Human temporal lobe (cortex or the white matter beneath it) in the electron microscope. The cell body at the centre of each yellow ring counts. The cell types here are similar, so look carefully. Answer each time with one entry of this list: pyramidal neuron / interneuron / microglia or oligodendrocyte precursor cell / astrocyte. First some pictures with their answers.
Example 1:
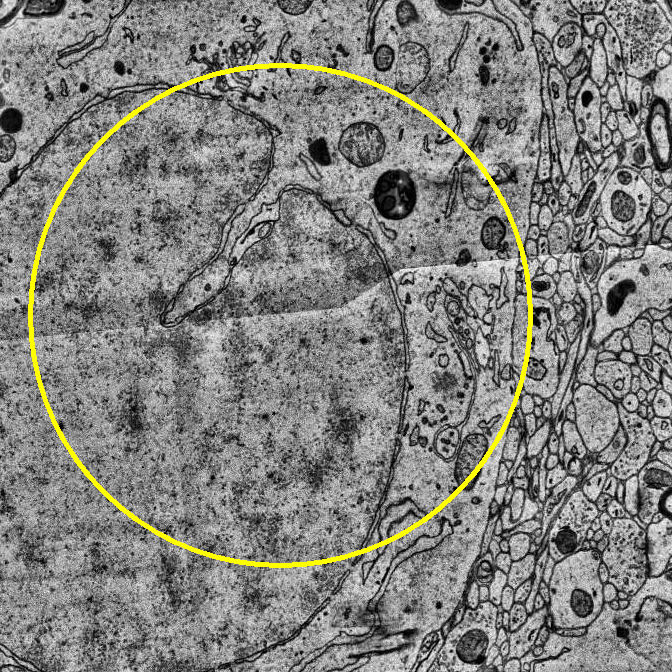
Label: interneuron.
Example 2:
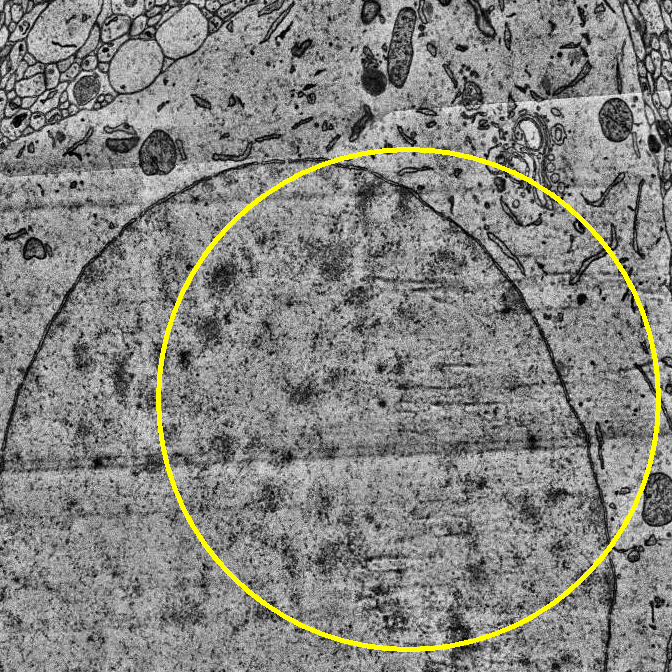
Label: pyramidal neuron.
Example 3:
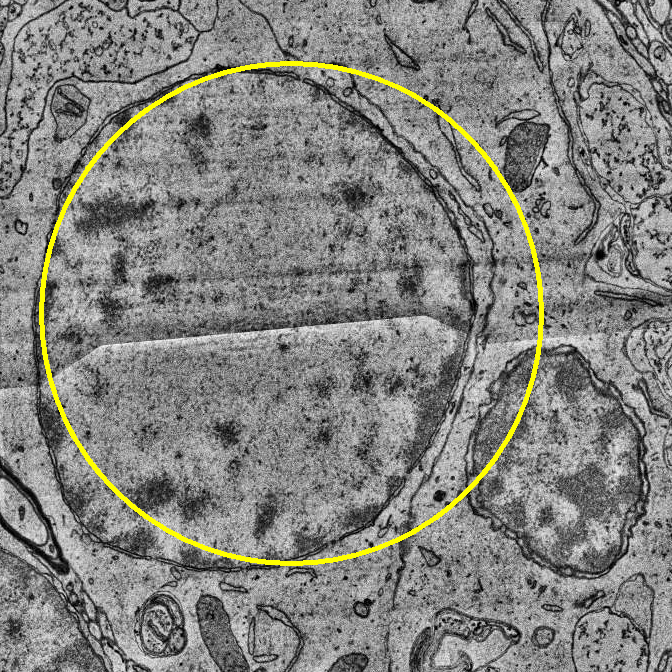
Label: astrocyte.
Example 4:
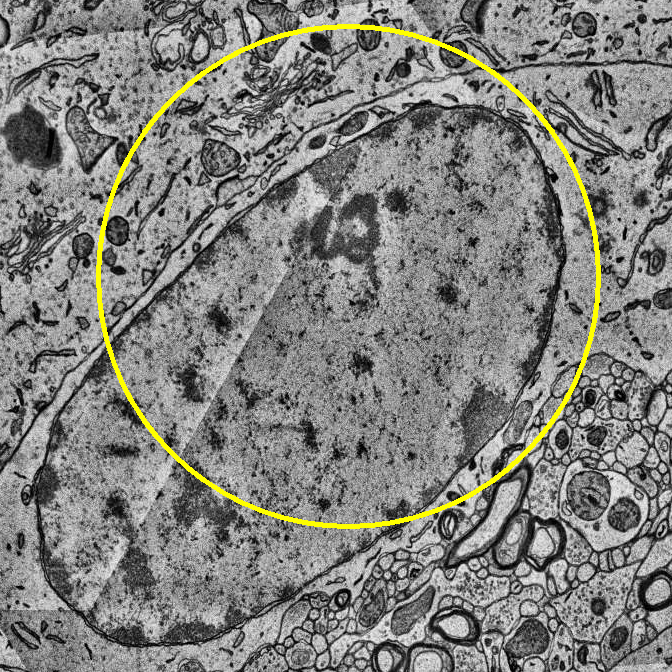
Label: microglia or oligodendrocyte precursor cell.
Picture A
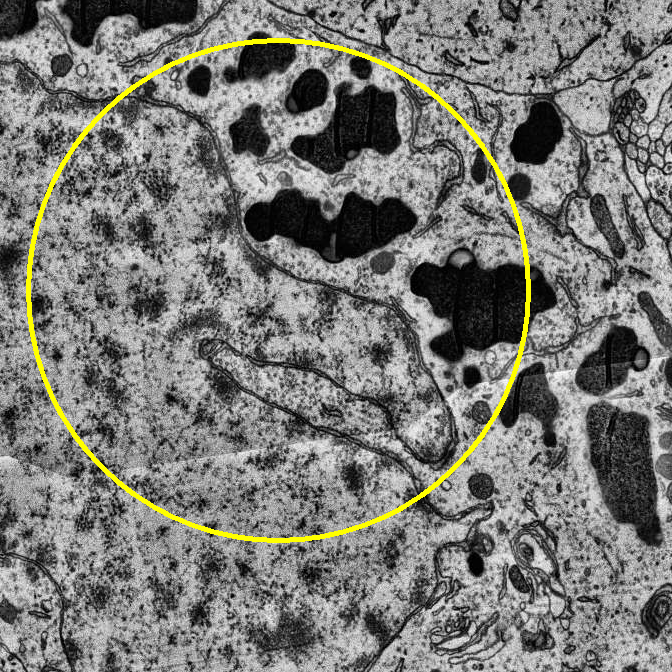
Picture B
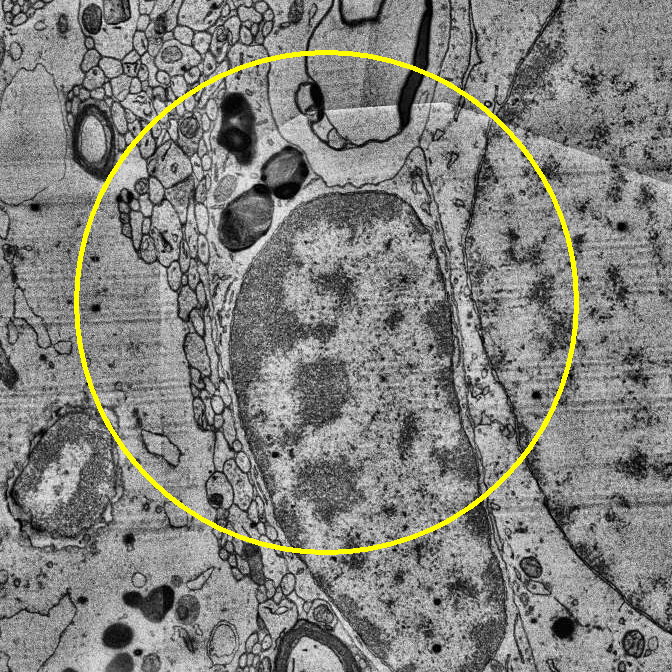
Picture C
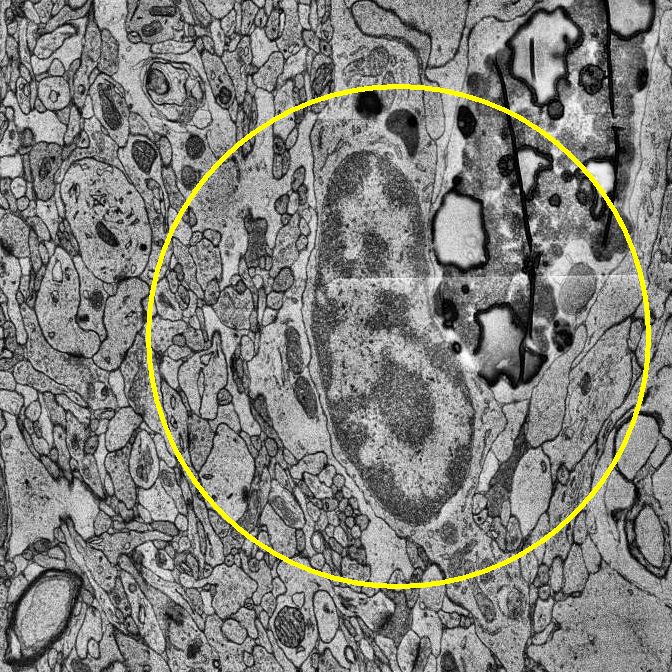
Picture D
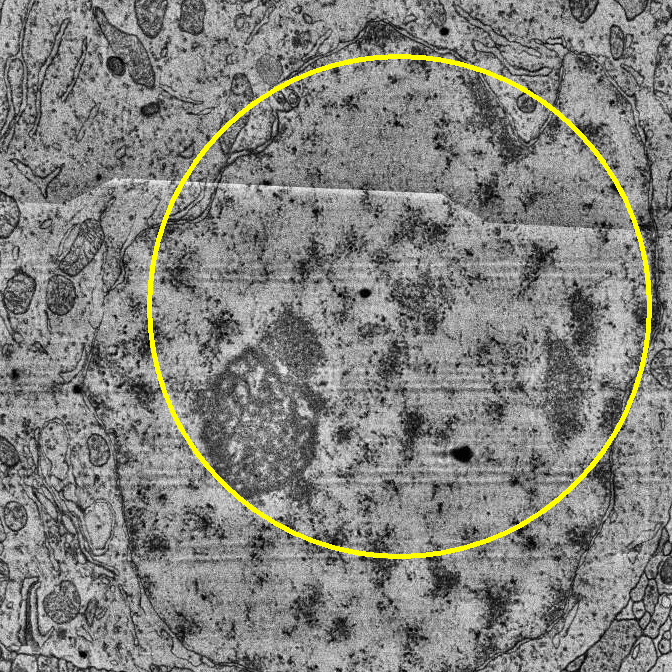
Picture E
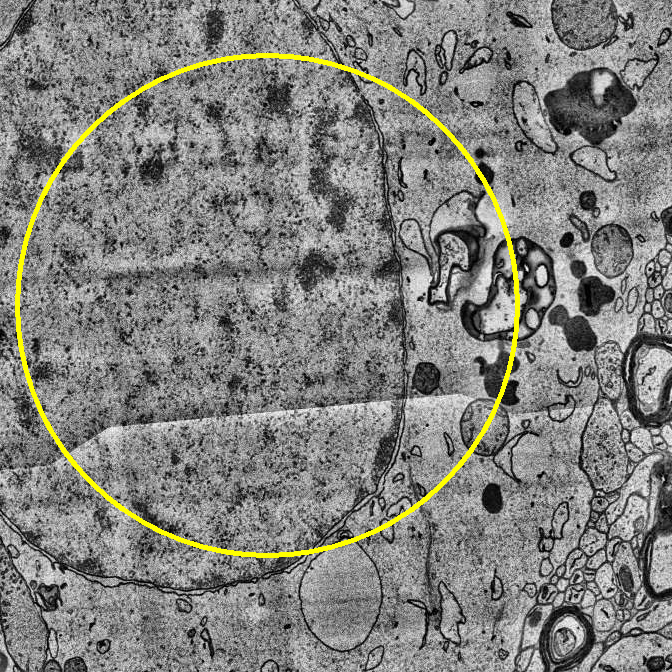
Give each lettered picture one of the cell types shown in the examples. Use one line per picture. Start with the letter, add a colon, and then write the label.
A: interneuron.
B: microglia or oligodendrocyte precursor cell.
C: microglia or oligodendrocyte precursor cell.
D: interneuron.
E: astrocyte.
